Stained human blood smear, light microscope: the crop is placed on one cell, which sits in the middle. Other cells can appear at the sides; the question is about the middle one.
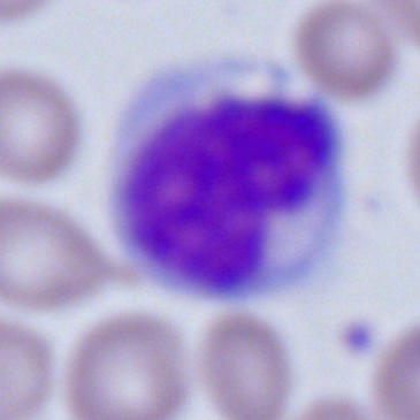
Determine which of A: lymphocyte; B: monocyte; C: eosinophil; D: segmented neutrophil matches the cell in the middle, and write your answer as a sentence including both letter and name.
The middle cell of the crop is a monocyte; accordingly, option B is correct.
